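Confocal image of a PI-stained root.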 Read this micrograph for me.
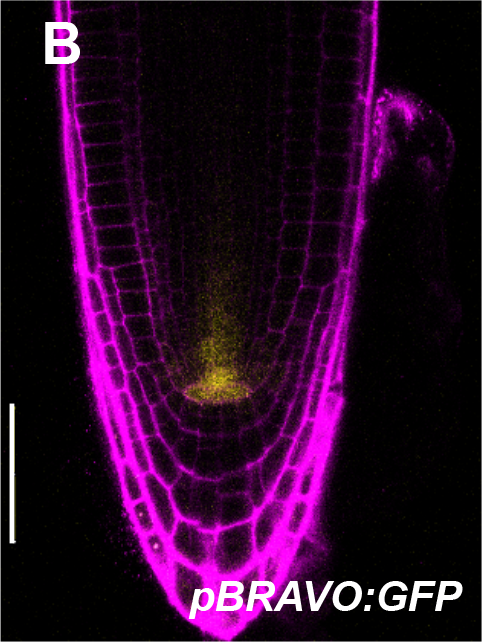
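A longitudinal optical section through a root tip, with cell walls outlined in magenta. Parallel files of rectangular cells run down the length of the root and converge near the tip on a small central cluster of cells. Below this cluster lie tiers of larger, rounder cells forming the cap, flanked by outer layers that wrap around the tip. Yellow fluorescence is concentrated in the small central cluster just above the cap, brightest in a thin band there, and fades upward in a narrow tapering zone along the innermost cell files.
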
